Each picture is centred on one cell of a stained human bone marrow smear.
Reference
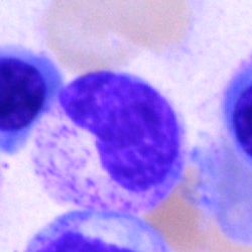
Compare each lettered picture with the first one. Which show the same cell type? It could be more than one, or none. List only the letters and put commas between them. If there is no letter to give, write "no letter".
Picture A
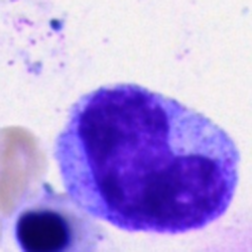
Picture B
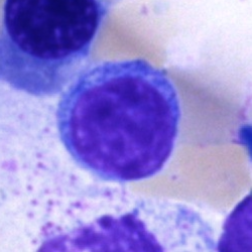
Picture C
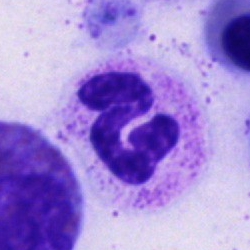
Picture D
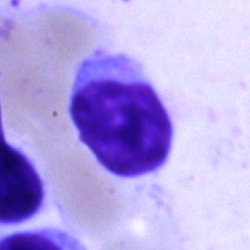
A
